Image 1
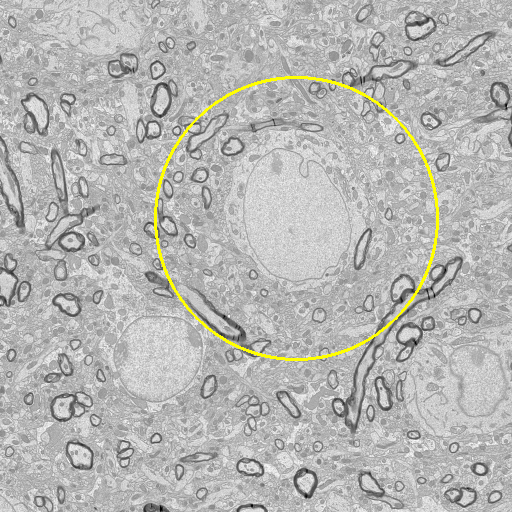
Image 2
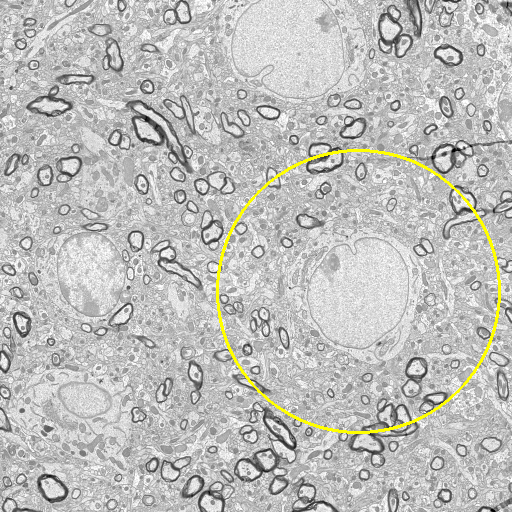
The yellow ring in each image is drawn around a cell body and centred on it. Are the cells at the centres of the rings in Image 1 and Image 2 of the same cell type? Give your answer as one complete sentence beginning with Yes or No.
Yes, both cells are of the same type.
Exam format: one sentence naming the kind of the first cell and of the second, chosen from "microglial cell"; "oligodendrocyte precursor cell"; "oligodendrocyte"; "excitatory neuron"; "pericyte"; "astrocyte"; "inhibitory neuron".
The second cell is an excitatory neuron, just as the first is.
